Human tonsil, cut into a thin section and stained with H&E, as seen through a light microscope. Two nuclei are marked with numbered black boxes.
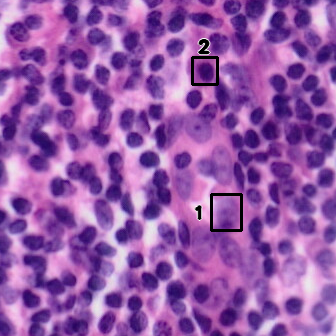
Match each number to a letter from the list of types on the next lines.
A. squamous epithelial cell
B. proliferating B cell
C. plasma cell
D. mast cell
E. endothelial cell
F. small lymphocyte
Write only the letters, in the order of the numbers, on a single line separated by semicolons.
E; C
